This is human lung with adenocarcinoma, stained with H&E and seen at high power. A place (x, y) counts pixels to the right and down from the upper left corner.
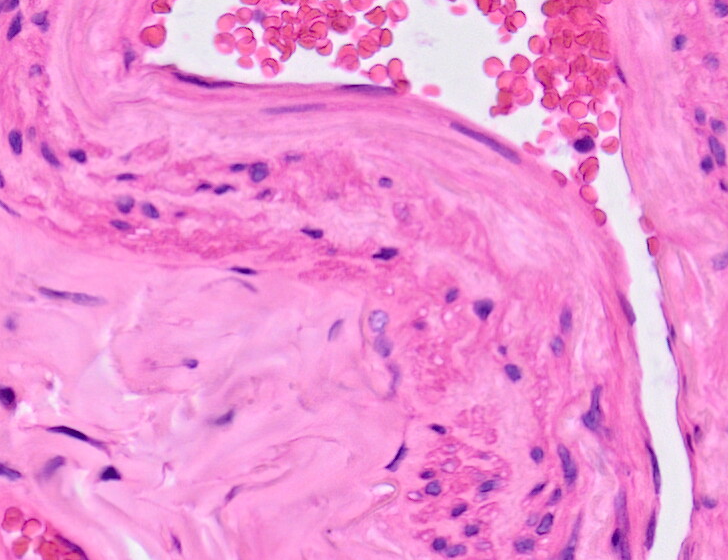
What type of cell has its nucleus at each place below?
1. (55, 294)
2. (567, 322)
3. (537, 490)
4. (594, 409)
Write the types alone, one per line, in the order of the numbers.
fibroblast
smooth muscle cell or pericyte
smooth muscle cell or pericyte
smooth muscle cell or pericyte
